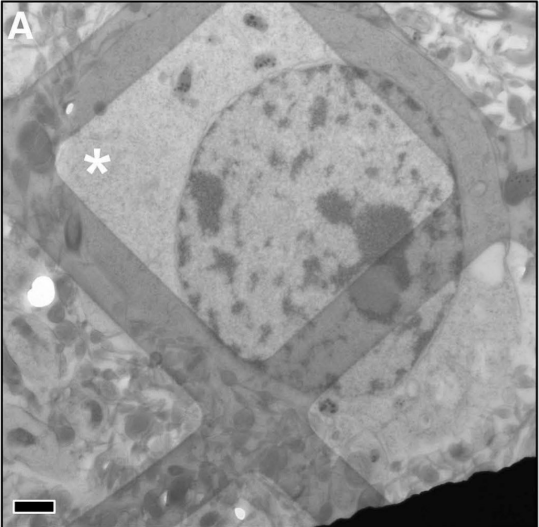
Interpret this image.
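This electron micrograph shows a neuron in brain tissue, with a large rounded nucleus holding dark clumps of chromatin on a paler background. Around the cell lies tightly packed neuropil, with many small profiles.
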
